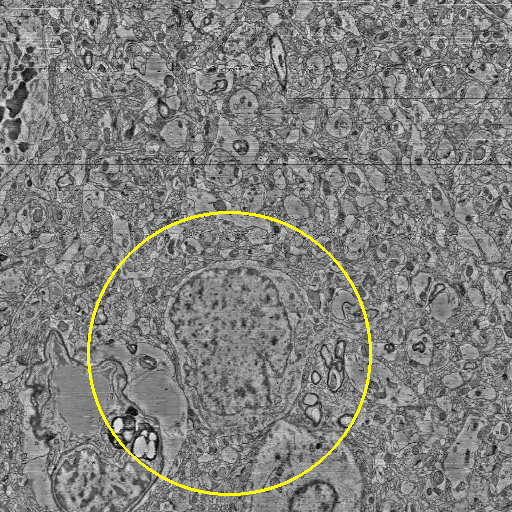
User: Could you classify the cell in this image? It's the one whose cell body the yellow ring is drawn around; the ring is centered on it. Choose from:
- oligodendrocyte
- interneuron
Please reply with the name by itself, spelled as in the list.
interneuron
